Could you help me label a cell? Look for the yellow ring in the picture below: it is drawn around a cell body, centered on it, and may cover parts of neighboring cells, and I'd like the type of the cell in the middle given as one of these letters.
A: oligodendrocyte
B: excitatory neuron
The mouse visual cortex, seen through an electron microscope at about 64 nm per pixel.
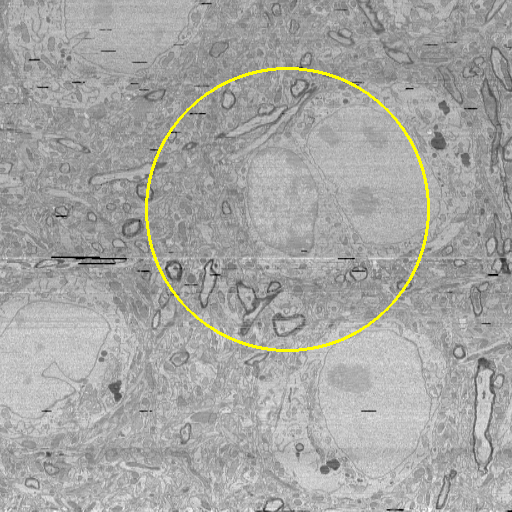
A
